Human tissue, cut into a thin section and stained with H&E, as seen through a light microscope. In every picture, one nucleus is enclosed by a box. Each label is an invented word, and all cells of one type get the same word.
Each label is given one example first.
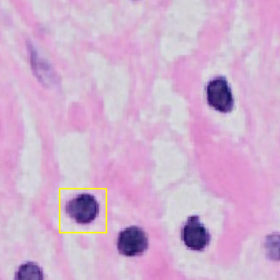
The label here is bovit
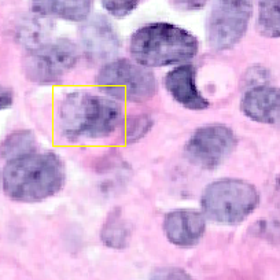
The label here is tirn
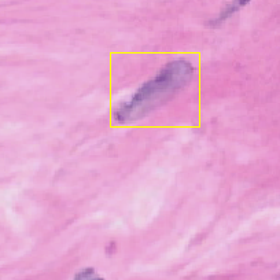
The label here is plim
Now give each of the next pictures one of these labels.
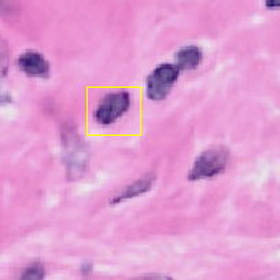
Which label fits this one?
bovit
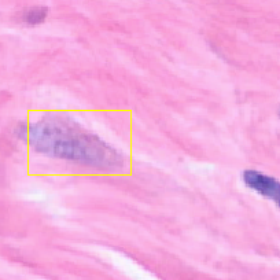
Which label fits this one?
plim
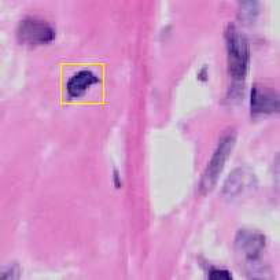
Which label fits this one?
bovit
